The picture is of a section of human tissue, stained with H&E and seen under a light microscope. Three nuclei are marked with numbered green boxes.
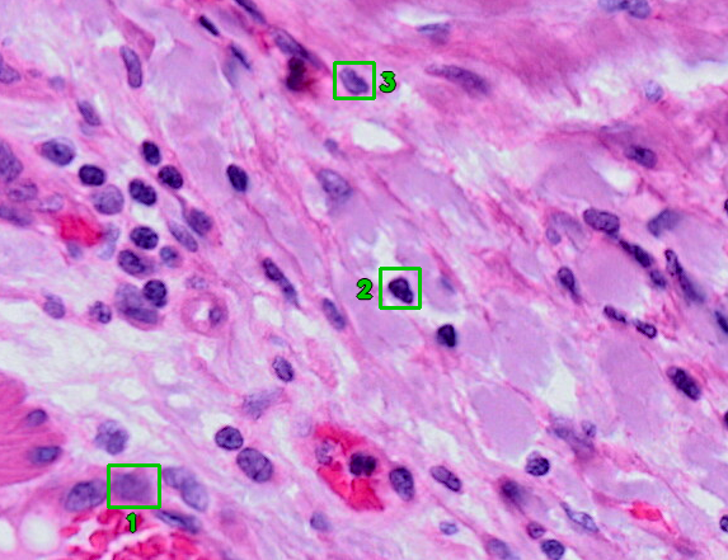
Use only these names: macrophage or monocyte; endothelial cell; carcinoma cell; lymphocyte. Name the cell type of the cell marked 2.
lymphocyte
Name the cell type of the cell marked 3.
lymphocyte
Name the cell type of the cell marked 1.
endothelial cell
